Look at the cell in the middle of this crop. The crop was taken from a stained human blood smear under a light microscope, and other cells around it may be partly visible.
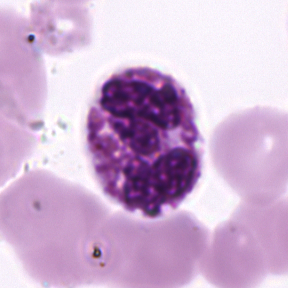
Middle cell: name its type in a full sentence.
Located at the centre of the crop is an eosinophil.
